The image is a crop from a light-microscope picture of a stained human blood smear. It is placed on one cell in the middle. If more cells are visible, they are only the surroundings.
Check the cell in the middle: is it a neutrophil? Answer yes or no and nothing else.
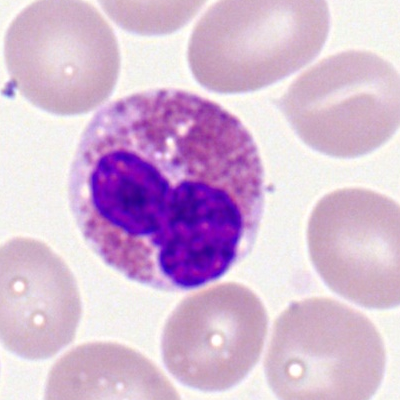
no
